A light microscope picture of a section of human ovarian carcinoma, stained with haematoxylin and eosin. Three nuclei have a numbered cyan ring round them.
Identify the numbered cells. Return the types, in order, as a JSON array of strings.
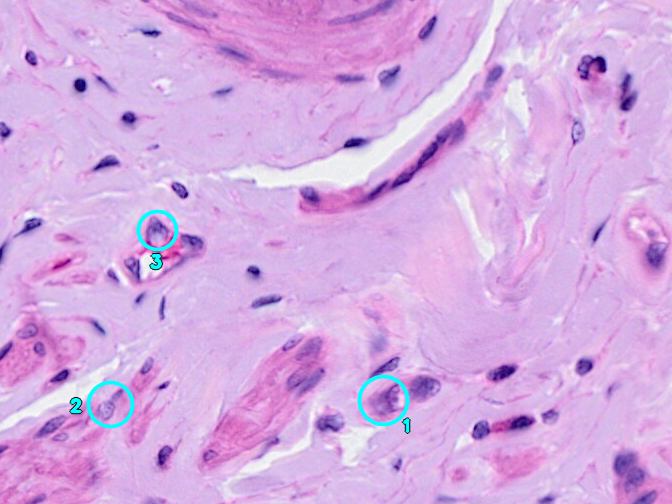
["endothelial cell", "smooth muscle cell", "endothelial cell"]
